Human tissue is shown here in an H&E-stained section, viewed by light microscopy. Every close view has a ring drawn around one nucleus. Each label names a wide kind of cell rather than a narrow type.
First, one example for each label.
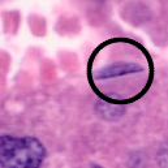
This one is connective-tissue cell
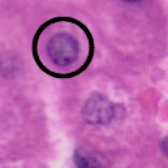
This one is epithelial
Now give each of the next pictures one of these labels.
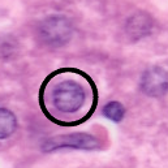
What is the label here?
epithelial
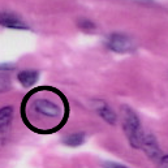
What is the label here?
connective-tissue cell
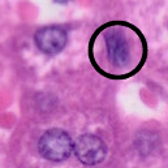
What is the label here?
connective-tissue cell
